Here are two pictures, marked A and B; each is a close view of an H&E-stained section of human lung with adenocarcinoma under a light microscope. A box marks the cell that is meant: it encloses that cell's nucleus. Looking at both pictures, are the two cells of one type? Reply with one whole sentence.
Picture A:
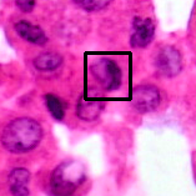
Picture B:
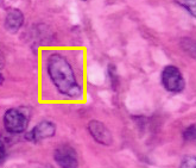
Yes, both cells are “macrophages or monocytes”.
